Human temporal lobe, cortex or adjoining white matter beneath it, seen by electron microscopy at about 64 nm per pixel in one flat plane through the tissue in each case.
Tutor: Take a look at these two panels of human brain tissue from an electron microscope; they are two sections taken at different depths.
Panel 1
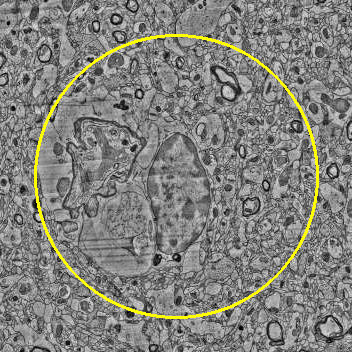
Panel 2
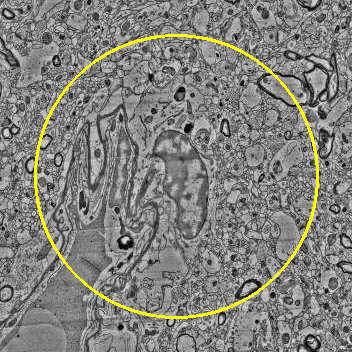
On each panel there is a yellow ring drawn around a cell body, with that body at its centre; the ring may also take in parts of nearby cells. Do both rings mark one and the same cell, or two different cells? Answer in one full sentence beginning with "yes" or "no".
No, the first ring and the second ring mark different cells.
